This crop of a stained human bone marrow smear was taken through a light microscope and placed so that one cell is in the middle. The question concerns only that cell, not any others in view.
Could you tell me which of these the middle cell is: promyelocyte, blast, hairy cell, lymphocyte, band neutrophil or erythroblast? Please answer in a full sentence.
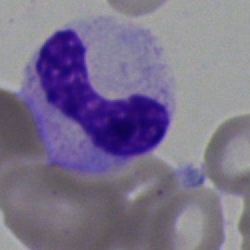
The cell the crop is centered on is a band neutrophil.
